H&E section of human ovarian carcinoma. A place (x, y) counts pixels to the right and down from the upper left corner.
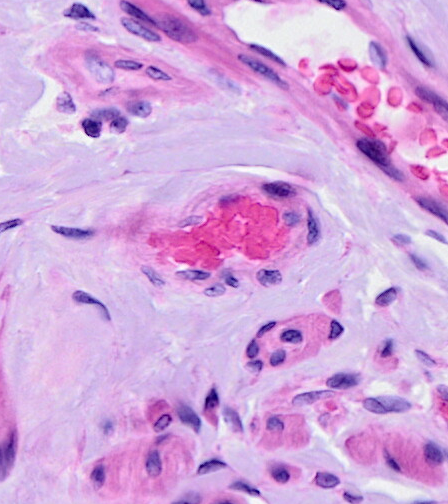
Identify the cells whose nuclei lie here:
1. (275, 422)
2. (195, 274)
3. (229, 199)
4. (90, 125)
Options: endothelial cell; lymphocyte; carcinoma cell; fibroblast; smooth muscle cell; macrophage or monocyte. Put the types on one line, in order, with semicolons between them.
smooth muscle cell; endothelial cell; endothelial cell; lymphocyte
